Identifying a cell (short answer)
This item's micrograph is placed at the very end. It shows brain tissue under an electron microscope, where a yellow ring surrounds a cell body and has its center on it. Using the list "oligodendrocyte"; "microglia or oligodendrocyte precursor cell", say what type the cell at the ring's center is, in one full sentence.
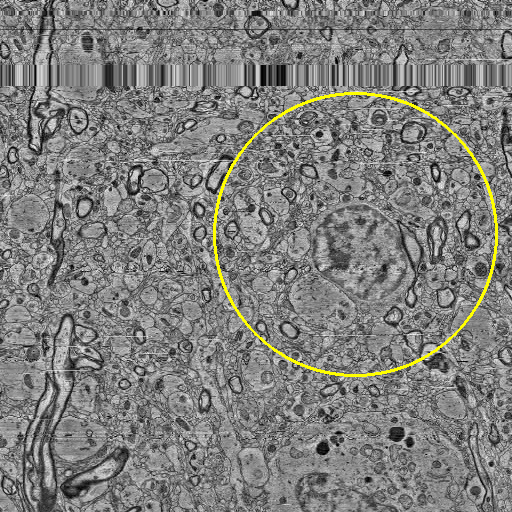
This picture shows an oligodendrocyte at the center of the yellow ring drawn on it.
